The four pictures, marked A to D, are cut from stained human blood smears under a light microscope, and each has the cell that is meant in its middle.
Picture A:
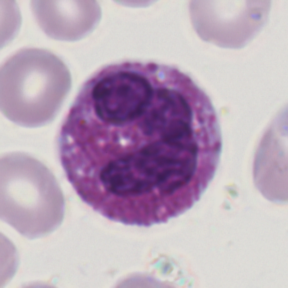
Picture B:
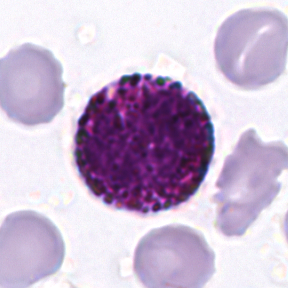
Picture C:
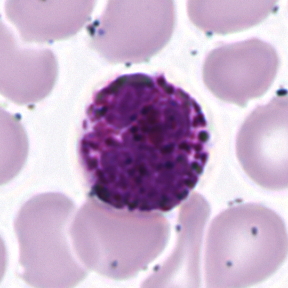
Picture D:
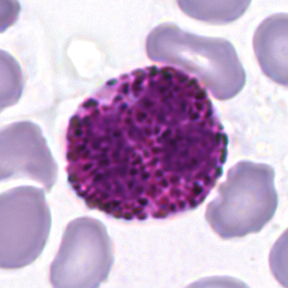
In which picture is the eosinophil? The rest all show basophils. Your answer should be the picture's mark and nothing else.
A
